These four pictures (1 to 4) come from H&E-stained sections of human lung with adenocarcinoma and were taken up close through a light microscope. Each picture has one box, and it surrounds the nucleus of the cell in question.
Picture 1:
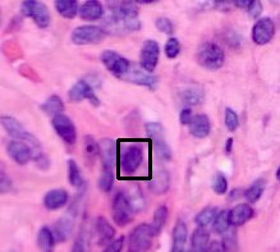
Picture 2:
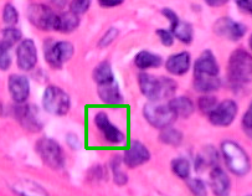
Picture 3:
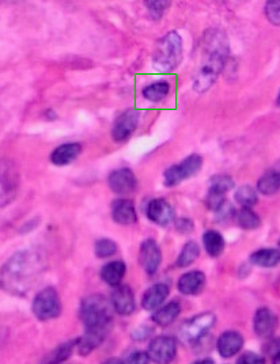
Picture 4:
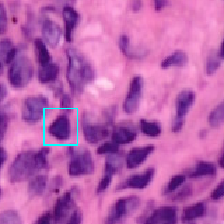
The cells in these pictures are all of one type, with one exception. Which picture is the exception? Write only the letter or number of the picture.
1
